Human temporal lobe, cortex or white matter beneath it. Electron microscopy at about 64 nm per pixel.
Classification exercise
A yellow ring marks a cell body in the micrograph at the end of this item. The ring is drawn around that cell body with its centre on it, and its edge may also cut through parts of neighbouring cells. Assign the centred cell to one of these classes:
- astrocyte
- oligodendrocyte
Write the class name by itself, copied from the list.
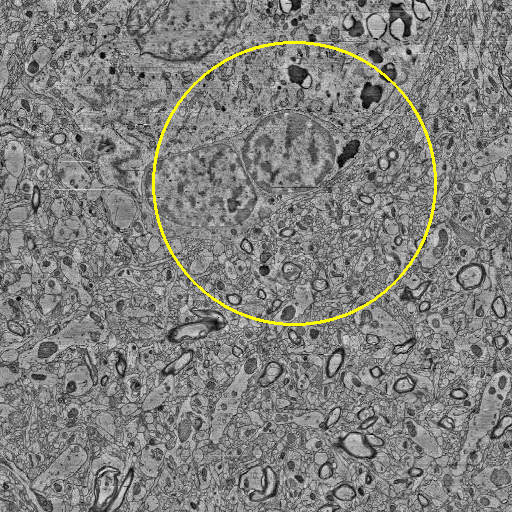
oligodendrocyte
